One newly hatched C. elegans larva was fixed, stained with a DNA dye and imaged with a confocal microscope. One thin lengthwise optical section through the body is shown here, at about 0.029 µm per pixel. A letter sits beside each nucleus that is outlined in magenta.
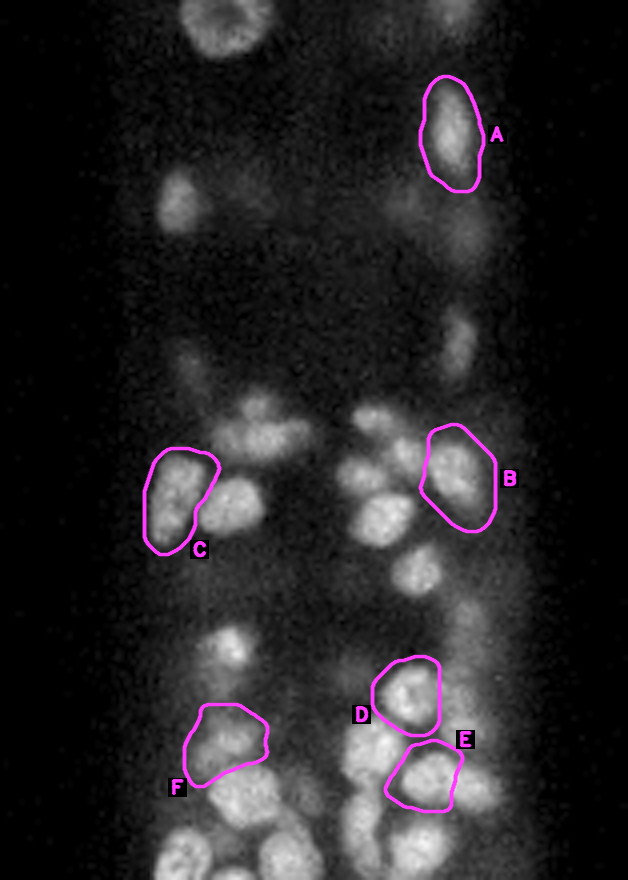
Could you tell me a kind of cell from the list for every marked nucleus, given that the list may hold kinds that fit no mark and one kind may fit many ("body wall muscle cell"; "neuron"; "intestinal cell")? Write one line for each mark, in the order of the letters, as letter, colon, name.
A: body wall muscle cell
B: body wall muscle cell
C: body wall muscle cell
D: neuron
E: neuron
F: neuron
